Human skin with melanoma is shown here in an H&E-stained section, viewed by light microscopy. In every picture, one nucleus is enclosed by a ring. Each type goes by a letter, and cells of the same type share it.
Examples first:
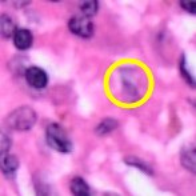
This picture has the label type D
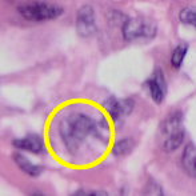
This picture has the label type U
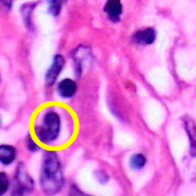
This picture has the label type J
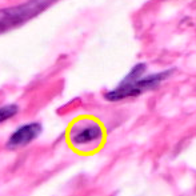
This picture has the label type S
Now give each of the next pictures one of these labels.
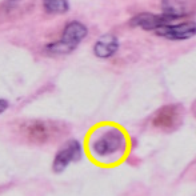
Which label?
type S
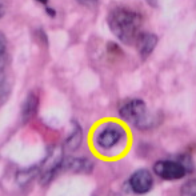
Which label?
type J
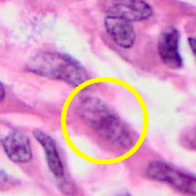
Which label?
type U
